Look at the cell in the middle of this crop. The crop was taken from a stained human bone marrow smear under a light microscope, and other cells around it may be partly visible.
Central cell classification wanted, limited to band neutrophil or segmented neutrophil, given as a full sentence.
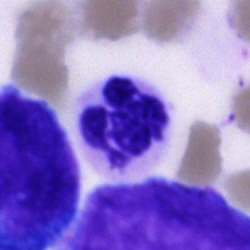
The cell marked by its central position in the crop is a segmented neutrophil.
